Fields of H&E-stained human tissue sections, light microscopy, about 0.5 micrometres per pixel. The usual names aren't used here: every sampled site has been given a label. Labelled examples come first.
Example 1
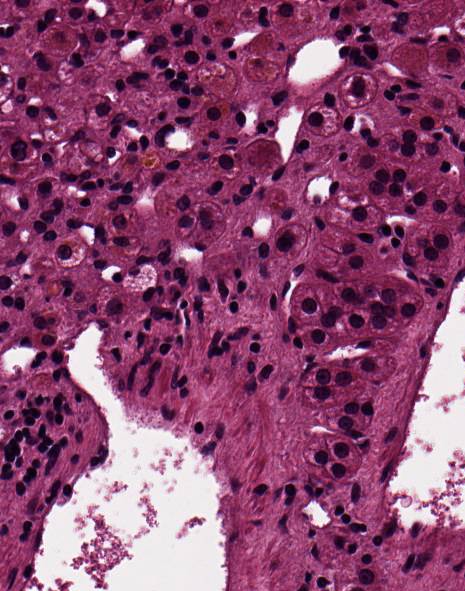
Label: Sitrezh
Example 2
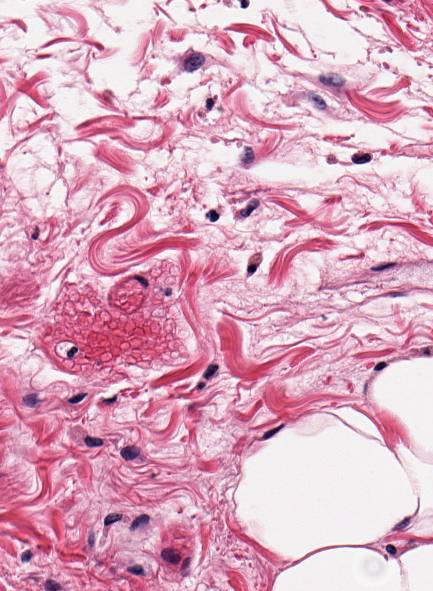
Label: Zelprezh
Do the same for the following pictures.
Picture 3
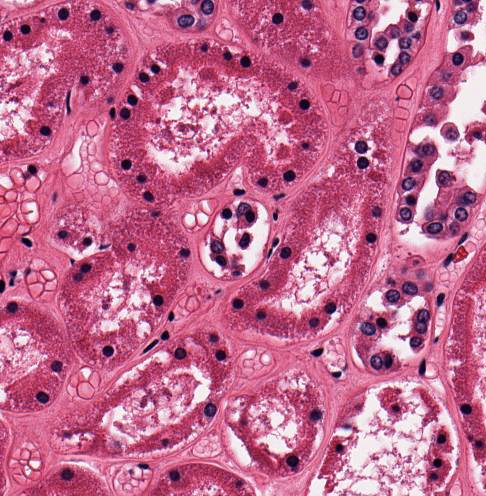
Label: Zelprezh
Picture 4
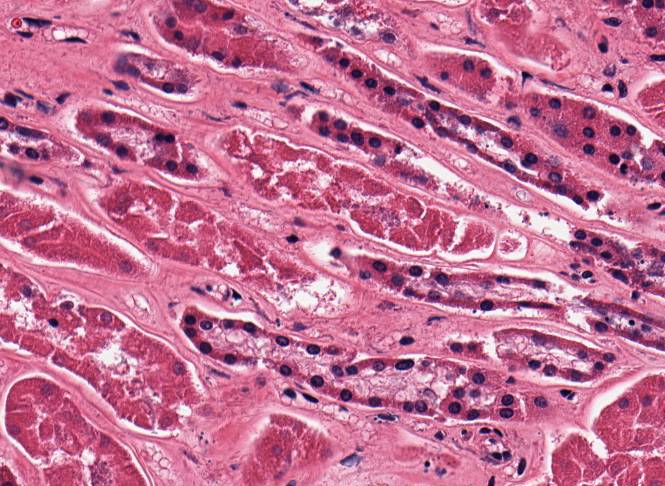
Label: Zelprezh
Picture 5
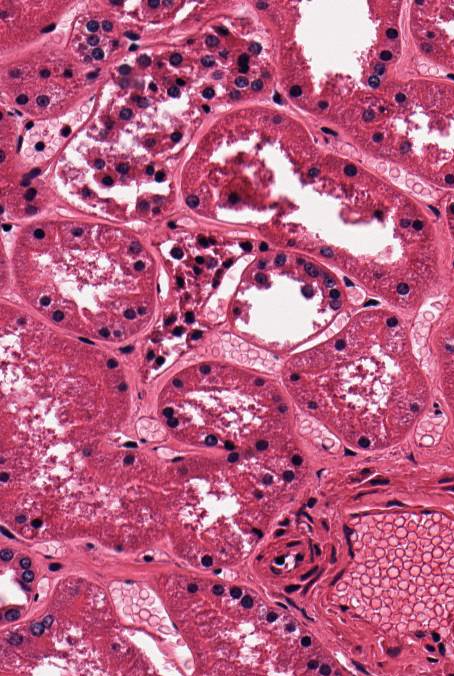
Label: Zelprezh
